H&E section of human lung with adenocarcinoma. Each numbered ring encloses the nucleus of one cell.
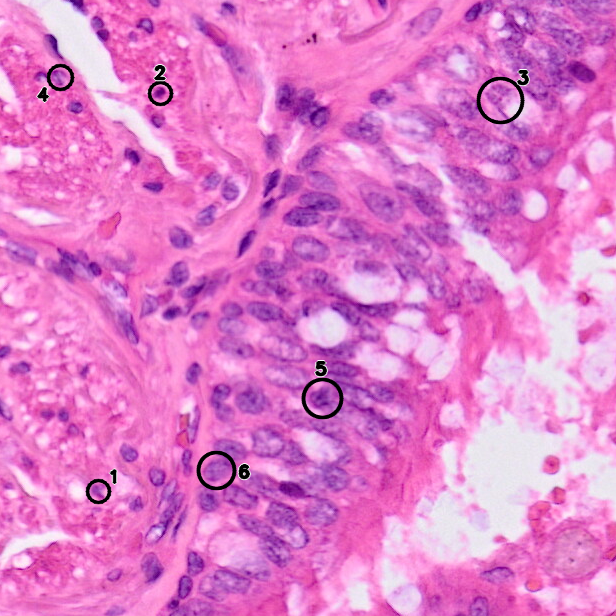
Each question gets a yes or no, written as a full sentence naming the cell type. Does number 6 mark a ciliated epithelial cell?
Yes, to put it simply, cell number 6 is a ciliated epithelial cell.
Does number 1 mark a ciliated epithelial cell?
No, the cell at number 1 is a smooth muscle cell or pericyte instead of a ciliated epithelial cell.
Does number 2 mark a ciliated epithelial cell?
No, the cell that carries number 2 is a smooth muscle cell or pericyte, not a ciliated epithelial cell.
